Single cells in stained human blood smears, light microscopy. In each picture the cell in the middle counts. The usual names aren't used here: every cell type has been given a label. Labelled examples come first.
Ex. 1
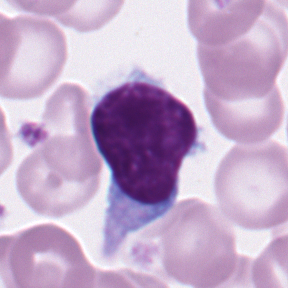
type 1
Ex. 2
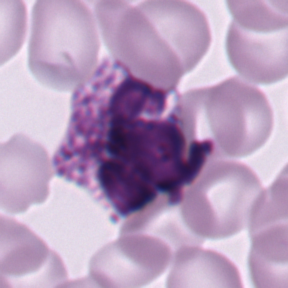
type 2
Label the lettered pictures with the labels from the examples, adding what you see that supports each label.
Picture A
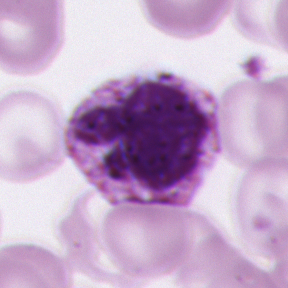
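type 2. Evidence: The nucleus has two lobes, a smaller one on the left and a larger one on the right.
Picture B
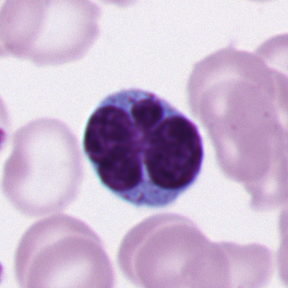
type 1. Evidence: The cytoplasm holds only a few fine purplish specks.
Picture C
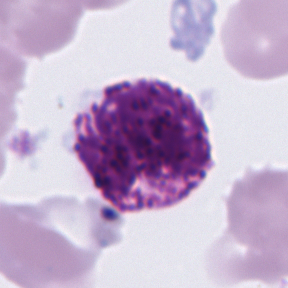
type 2. Evidence: Coarse dark purple-black granules cover nearly the whole cell.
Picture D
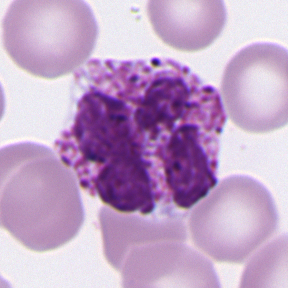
type 2. Evidence: The nucleus is split into four separate lobes.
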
